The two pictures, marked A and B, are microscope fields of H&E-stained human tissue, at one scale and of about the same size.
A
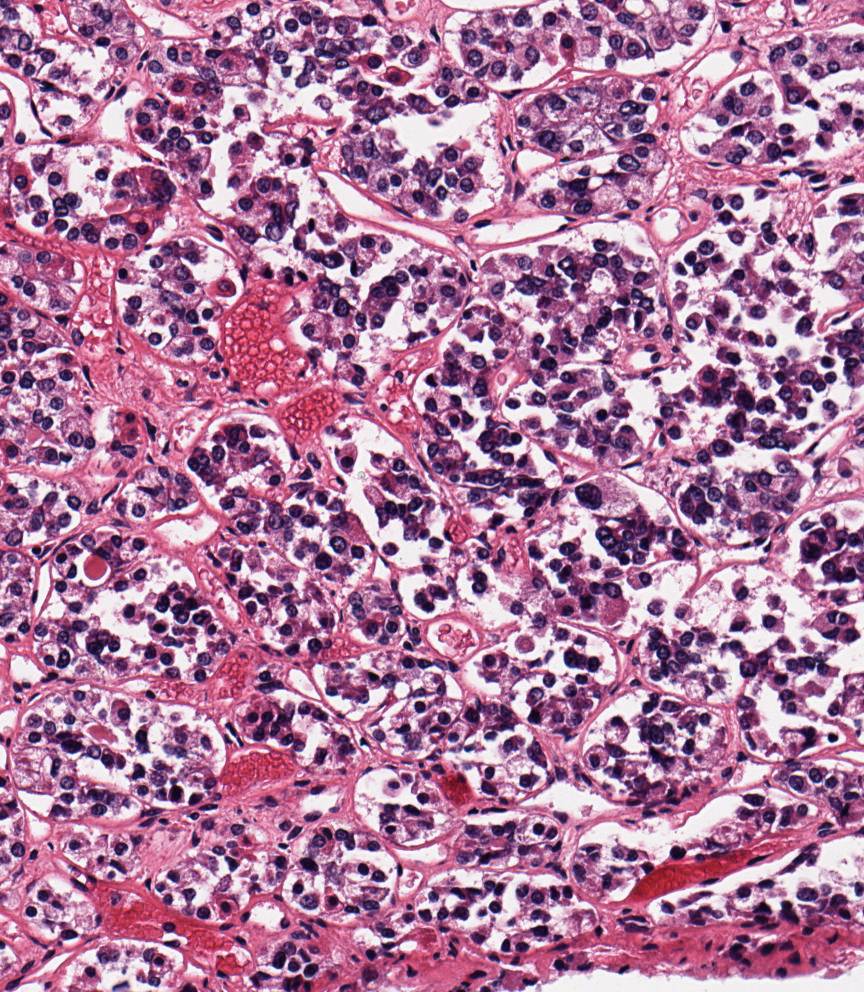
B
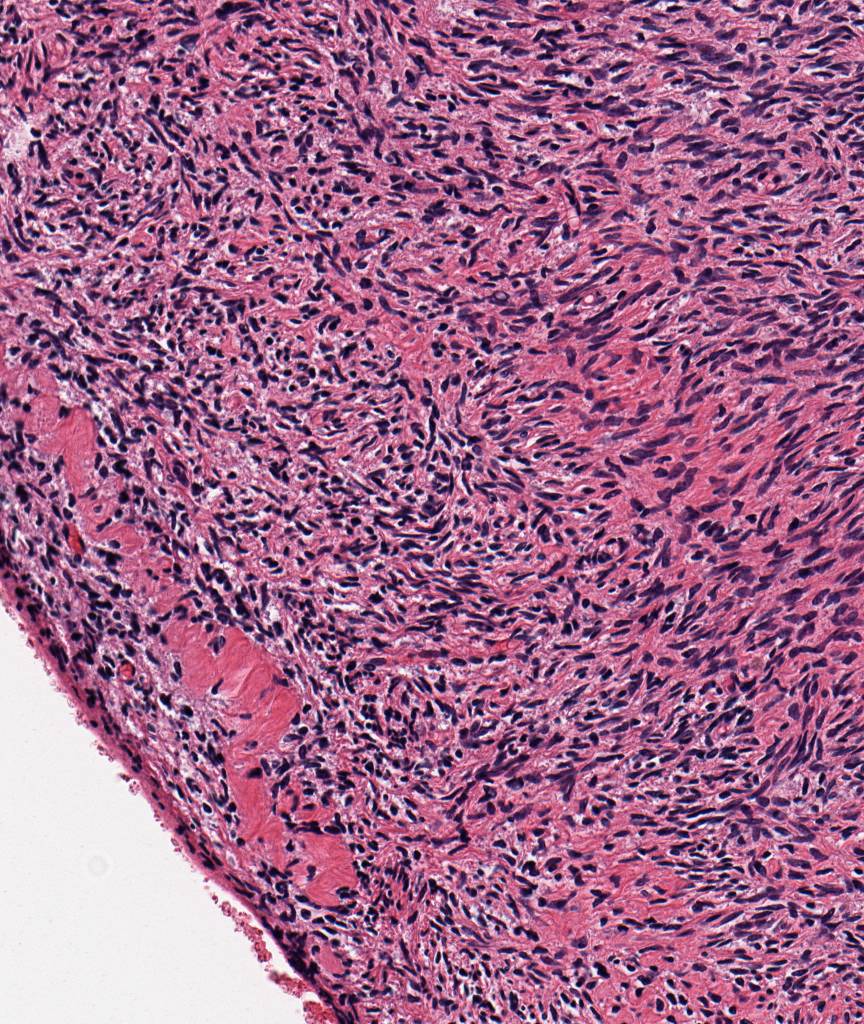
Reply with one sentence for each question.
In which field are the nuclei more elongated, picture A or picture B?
It is picture B whose nuclei are the more elongated.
